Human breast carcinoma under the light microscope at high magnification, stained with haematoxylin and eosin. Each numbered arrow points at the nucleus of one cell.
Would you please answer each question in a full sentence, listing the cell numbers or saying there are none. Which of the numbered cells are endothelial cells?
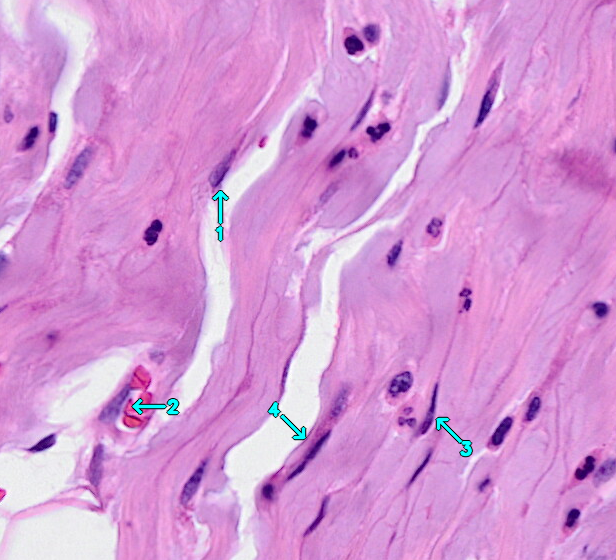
Of the numbered nuclei, only the one labelled 2 belongs to an endothelial cell.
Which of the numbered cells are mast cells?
From first to last, the numbered cells include no mast cells.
